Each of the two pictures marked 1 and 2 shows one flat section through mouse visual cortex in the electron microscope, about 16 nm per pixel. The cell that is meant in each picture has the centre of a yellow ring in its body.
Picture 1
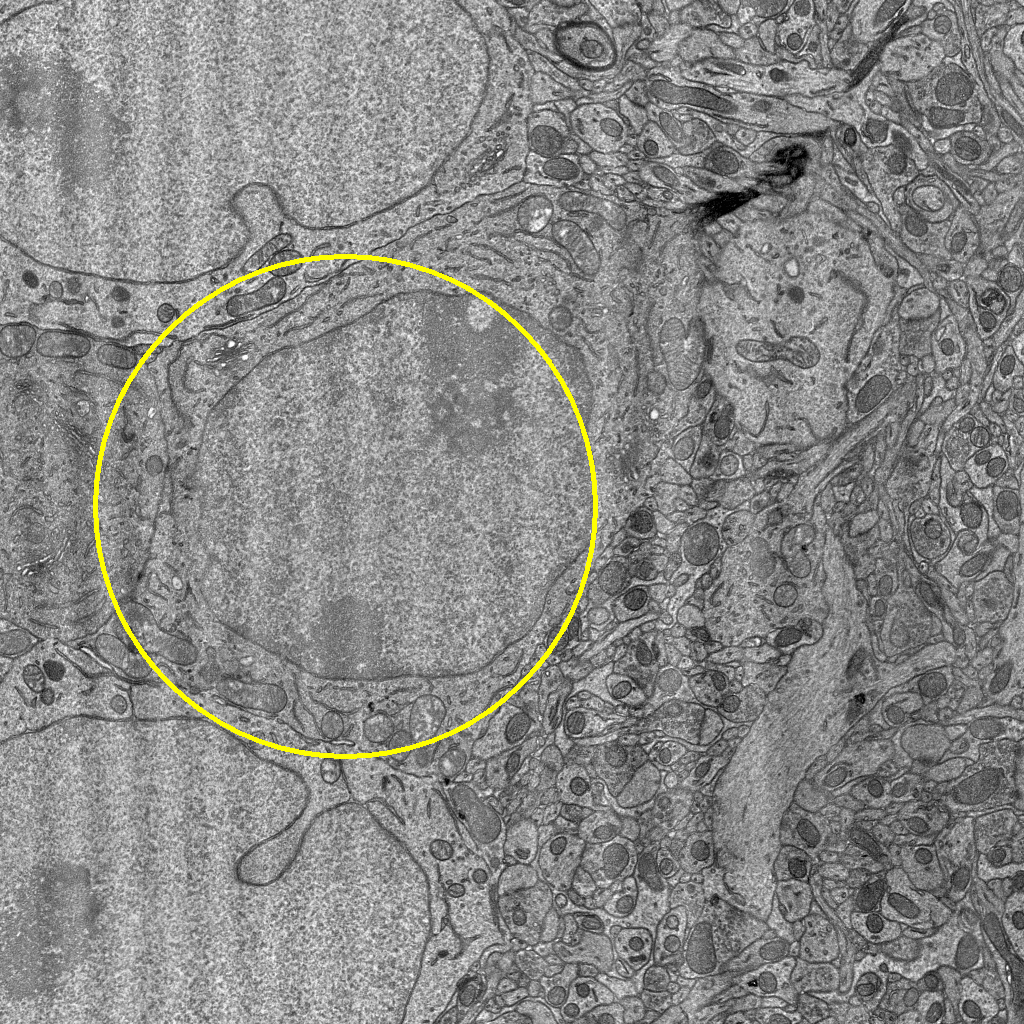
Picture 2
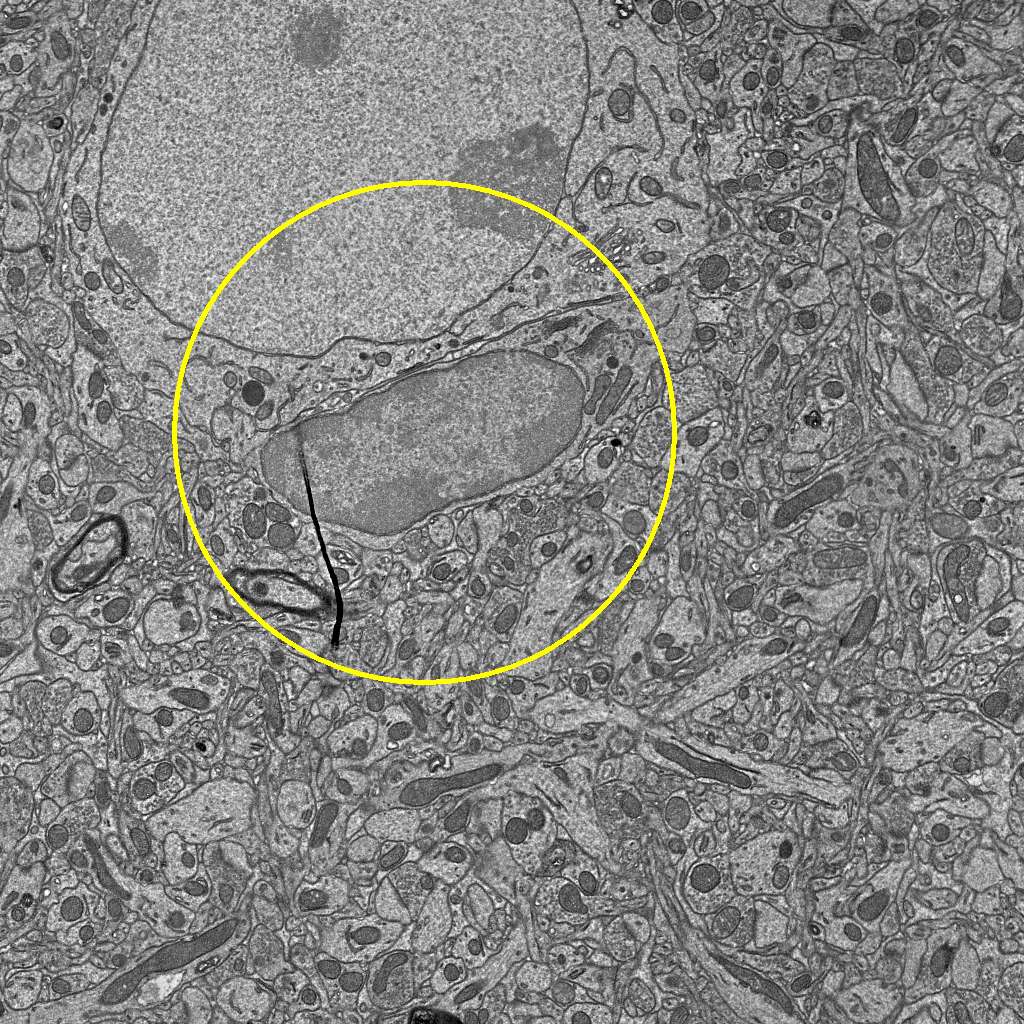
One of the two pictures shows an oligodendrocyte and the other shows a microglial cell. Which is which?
It is picture 1 that shows an oligodendrocyte, and picture 2 that shows a microglial cell.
